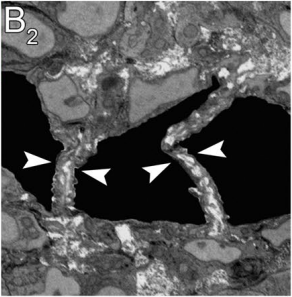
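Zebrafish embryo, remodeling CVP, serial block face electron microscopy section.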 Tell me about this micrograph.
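A black, empty vessel lumen is crossed by two thin columns of tissue that run from the upper wall to the lower wall, each edged by thin flattened cell layers with a brighter, granular core. Around the lumen lie densely packed cells with large, smooth, oval grey nuclei and narrow rims of cytoplasm, with bright, irregular extracellular material between them. The columns are narrow compared to the nuclei and split the lumen into separate channels.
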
